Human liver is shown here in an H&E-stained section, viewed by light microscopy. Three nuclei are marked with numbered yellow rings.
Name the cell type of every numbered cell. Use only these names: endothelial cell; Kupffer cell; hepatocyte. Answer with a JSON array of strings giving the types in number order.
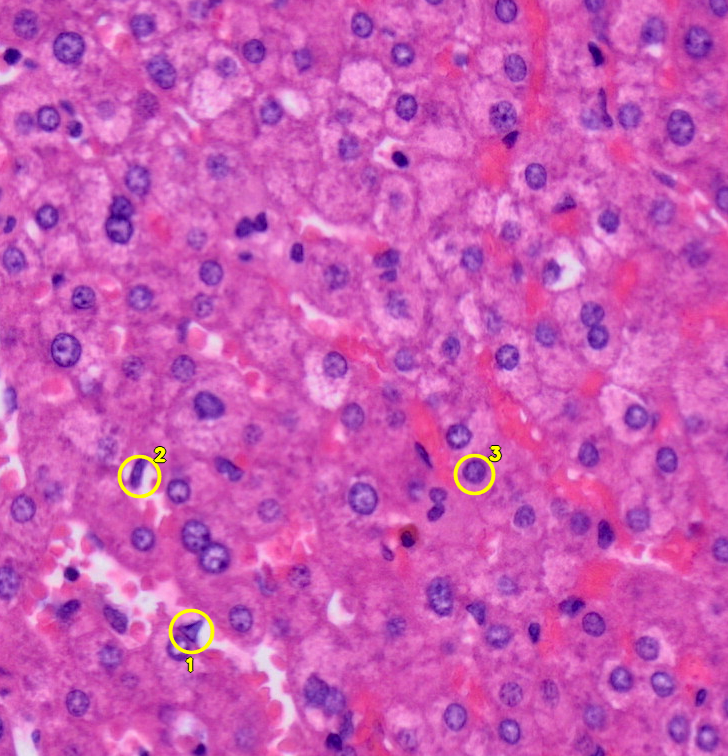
["endothelial cell", "Kupffer cell", "hepatocyte"]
